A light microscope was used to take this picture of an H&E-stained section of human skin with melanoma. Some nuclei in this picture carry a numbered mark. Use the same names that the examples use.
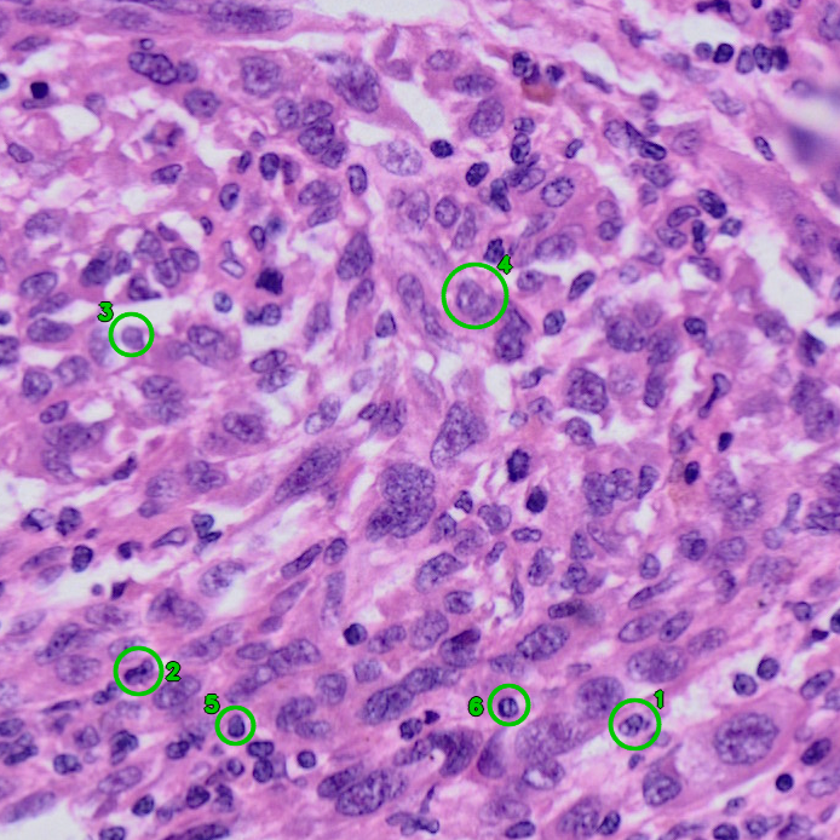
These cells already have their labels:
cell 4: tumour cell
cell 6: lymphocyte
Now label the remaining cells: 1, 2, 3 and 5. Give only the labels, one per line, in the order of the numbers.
lymphocyte
lymphocyte
tumour cell
lymphocyte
